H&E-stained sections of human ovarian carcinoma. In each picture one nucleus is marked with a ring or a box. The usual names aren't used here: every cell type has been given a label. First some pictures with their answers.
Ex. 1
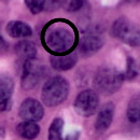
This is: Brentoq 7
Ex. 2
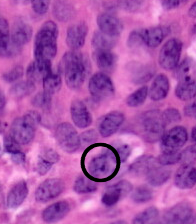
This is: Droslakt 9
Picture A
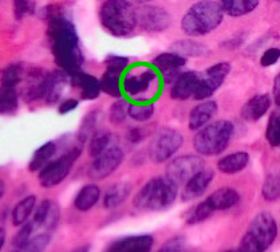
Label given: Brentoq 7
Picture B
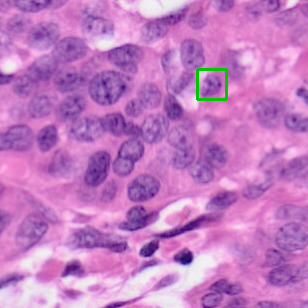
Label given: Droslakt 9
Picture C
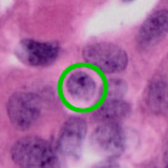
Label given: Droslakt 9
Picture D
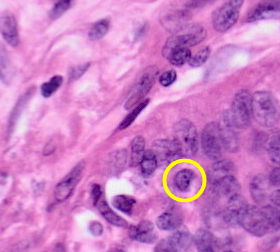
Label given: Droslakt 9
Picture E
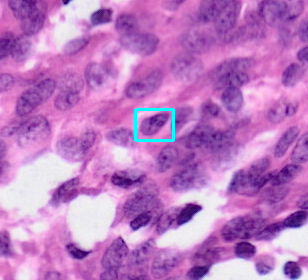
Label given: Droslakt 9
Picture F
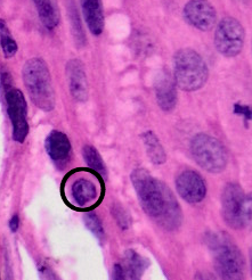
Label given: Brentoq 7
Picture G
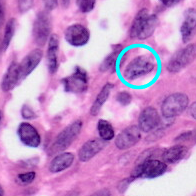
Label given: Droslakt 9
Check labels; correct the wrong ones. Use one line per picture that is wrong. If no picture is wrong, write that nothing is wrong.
F is labelled Brentoq 7; correct label: Droslakt 9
